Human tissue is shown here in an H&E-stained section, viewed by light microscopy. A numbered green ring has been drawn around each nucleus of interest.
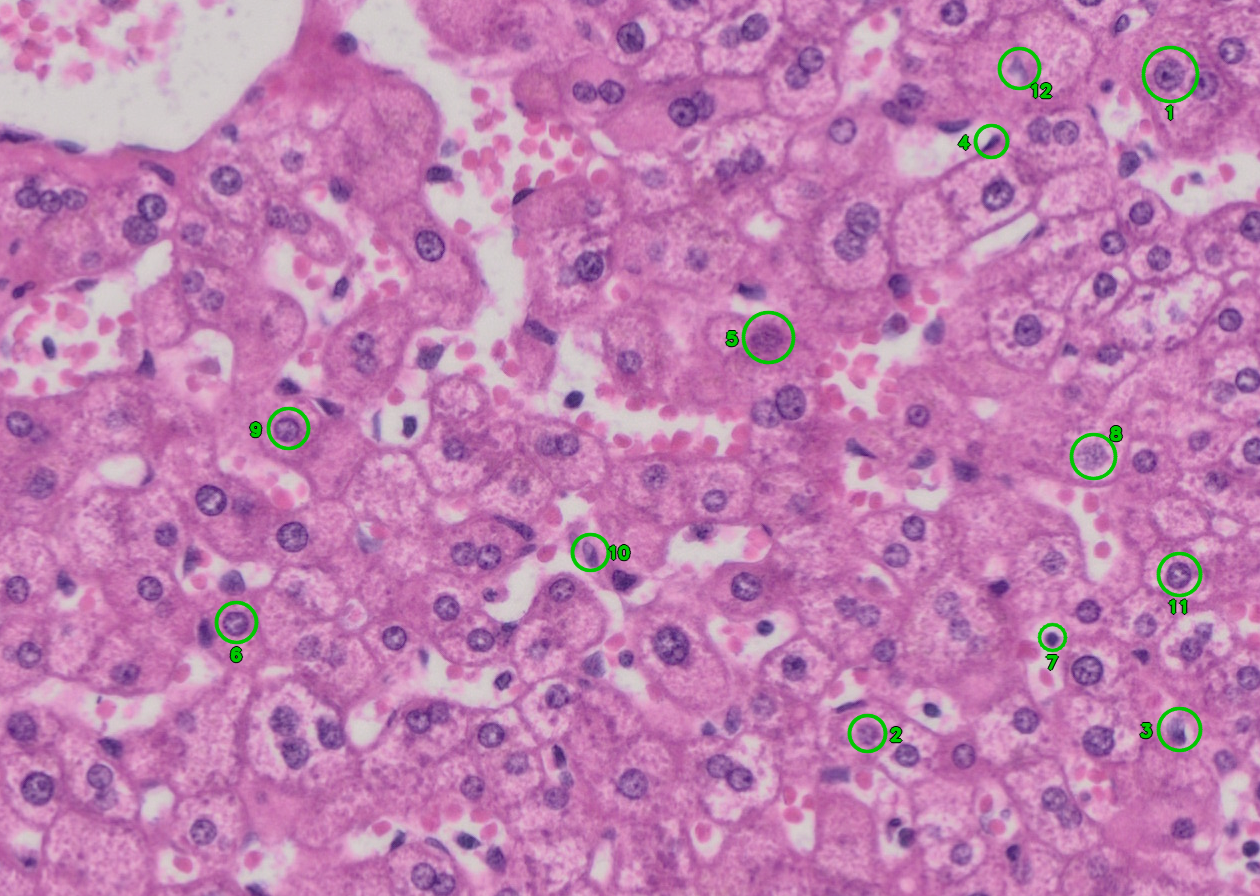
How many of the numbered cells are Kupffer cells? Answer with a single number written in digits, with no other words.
1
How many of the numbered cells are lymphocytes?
1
